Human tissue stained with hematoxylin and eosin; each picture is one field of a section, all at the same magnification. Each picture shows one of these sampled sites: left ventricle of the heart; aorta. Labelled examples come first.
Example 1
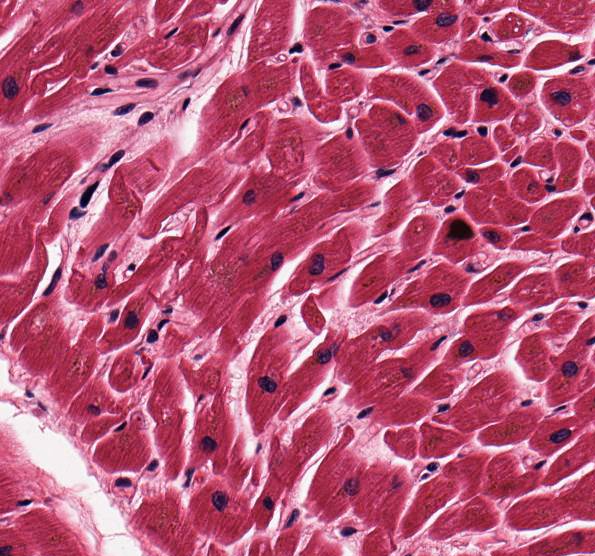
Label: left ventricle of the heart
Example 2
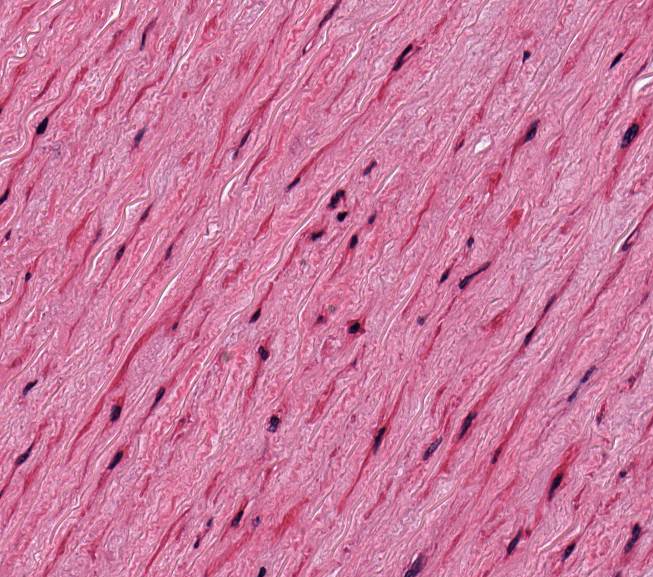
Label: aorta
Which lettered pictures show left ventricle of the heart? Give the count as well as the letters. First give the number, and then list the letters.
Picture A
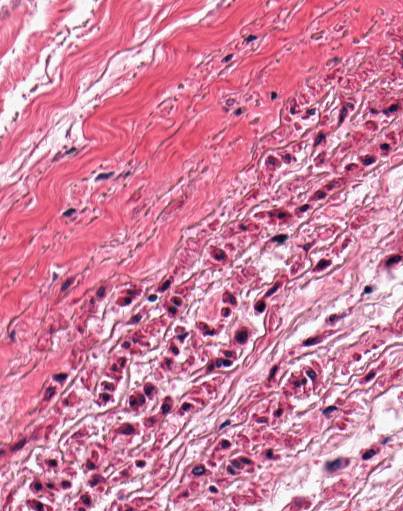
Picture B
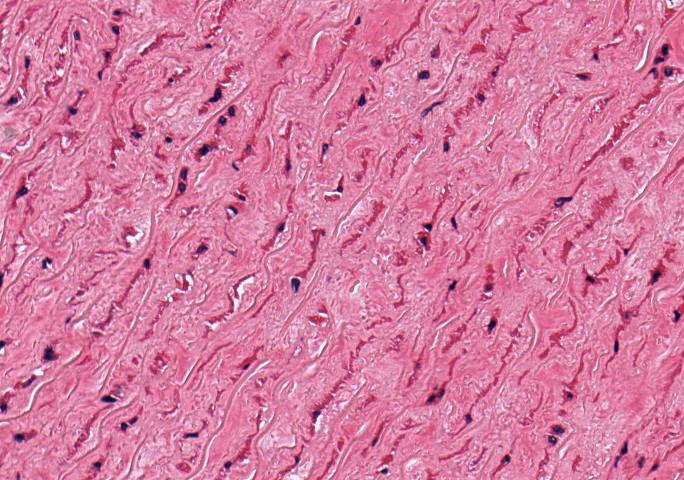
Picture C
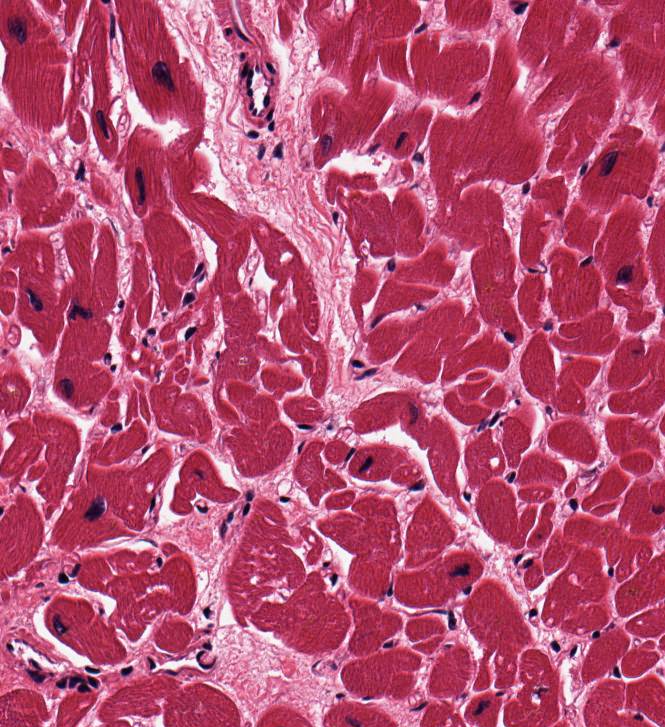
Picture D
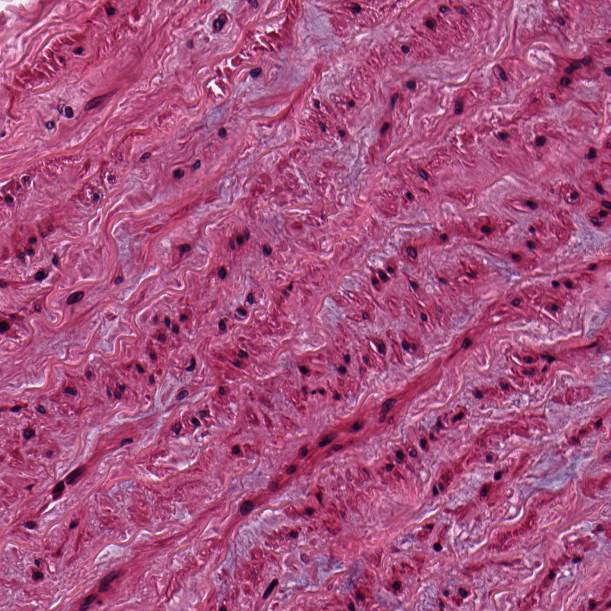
1: C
